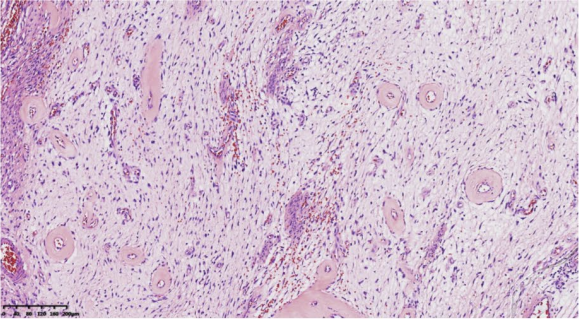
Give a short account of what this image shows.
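This is a spindle-cell tumor made of short, slender cells with small dark nuclei lying loosely in a pale pink, somewhat myxoid stroma. Scattered throughout are small blood vessels, each wrapped in a thick, glassy pink ring of collagen, so that the vessels look like targets in cross-section. A few red blood cells sit in the vessel lumens and in small clusters in the stroma.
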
